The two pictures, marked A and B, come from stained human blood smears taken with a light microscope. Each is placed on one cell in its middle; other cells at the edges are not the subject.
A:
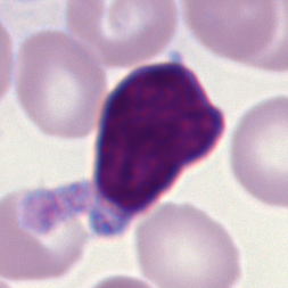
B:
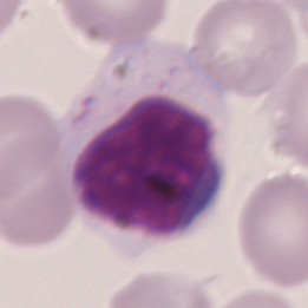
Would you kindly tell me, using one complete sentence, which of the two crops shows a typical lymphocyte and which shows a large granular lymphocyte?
Crop A is a typical lymphocyte, whereas a large granular lymphocyte is found in crop B.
